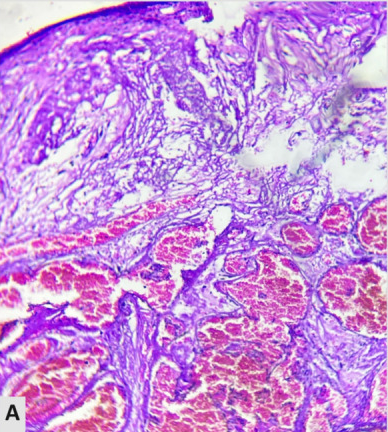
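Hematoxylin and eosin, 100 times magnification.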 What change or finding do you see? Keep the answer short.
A: Ectatic dermal blood vessels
